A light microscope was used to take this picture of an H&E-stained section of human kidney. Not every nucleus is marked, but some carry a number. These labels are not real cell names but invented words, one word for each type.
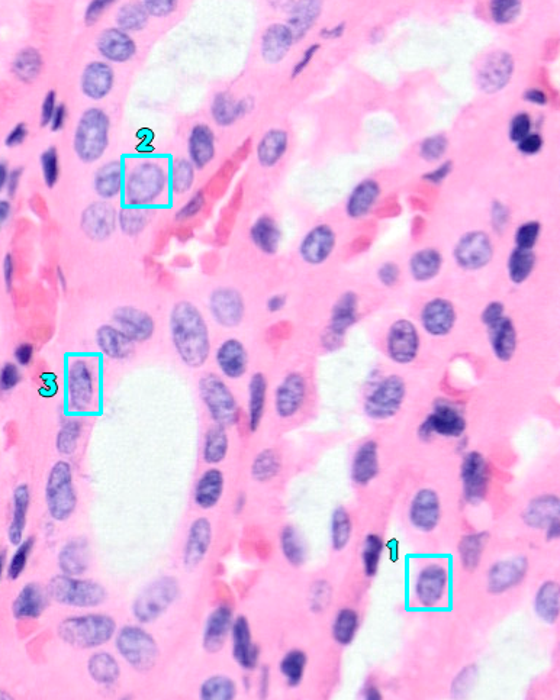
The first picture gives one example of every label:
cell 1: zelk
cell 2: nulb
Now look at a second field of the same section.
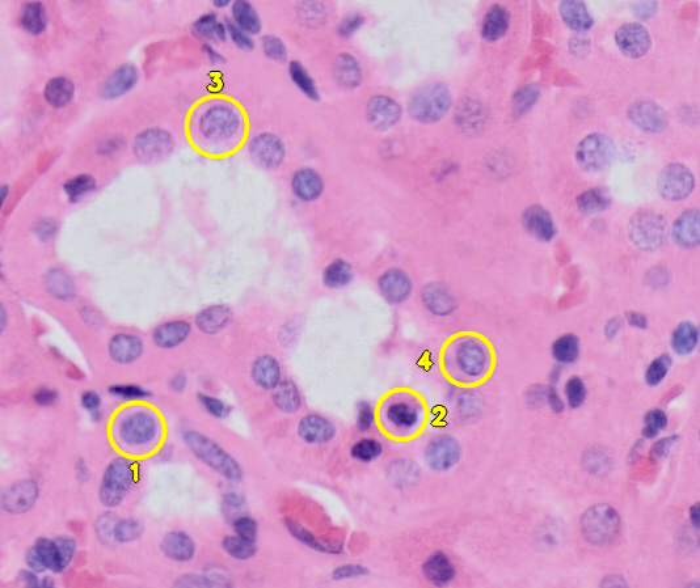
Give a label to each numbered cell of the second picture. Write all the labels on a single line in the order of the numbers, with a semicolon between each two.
nulb; zelk; zelk; zelk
